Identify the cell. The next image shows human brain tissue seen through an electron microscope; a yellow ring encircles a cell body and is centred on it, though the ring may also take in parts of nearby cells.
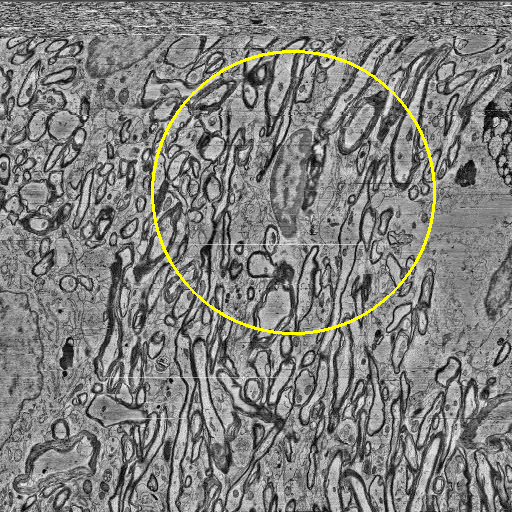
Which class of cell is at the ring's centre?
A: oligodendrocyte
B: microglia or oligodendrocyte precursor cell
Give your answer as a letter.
B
